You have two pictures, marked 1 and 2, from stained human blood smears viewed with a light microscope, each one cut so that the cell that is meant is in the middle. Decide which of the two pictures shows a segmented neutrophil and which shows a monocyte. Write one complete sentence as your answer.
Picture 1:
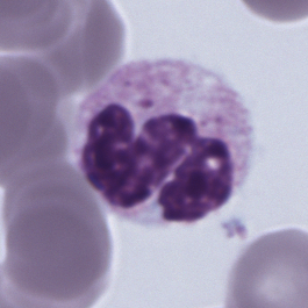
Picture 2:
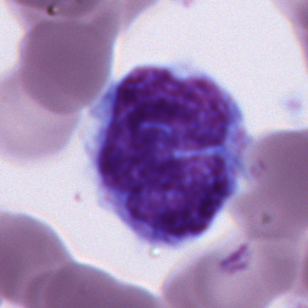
In picture 1 the cell is a segmented neutrophil; in picture 2, a monocyte.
